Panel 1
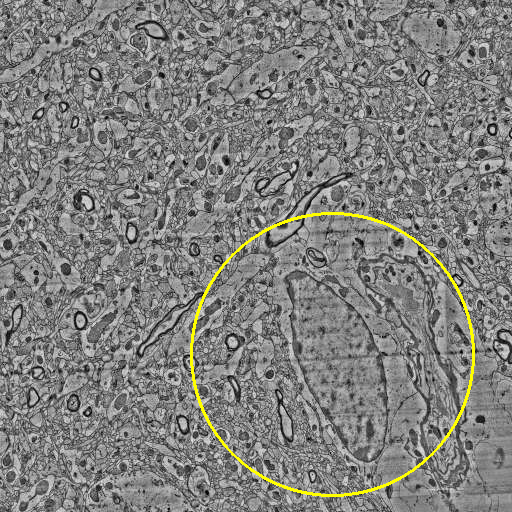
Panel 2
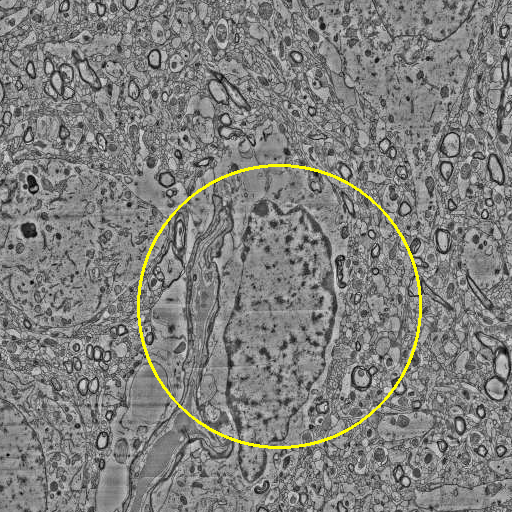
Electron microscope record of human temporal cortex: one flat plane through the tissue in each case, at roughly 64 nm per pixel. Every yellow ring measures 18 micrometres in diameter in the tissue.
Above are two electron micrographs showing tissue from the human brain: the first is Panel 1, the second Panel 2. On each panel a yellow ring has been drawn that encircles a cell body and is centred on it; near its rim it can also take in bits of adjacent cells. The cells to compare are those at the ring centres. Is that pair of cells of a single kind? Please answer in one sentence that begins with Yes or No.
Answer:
Yes, the ring-centred cells of Panel 1 and Panel 2 belong to one kind.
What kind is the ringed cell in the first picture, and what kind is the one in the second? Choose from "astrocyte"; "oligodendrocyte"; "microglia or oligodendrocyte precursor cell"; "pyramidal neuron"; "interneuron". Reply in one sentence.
Each one of the two ringed cells is a microglial cell or oligodendrocyte precursor cell.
